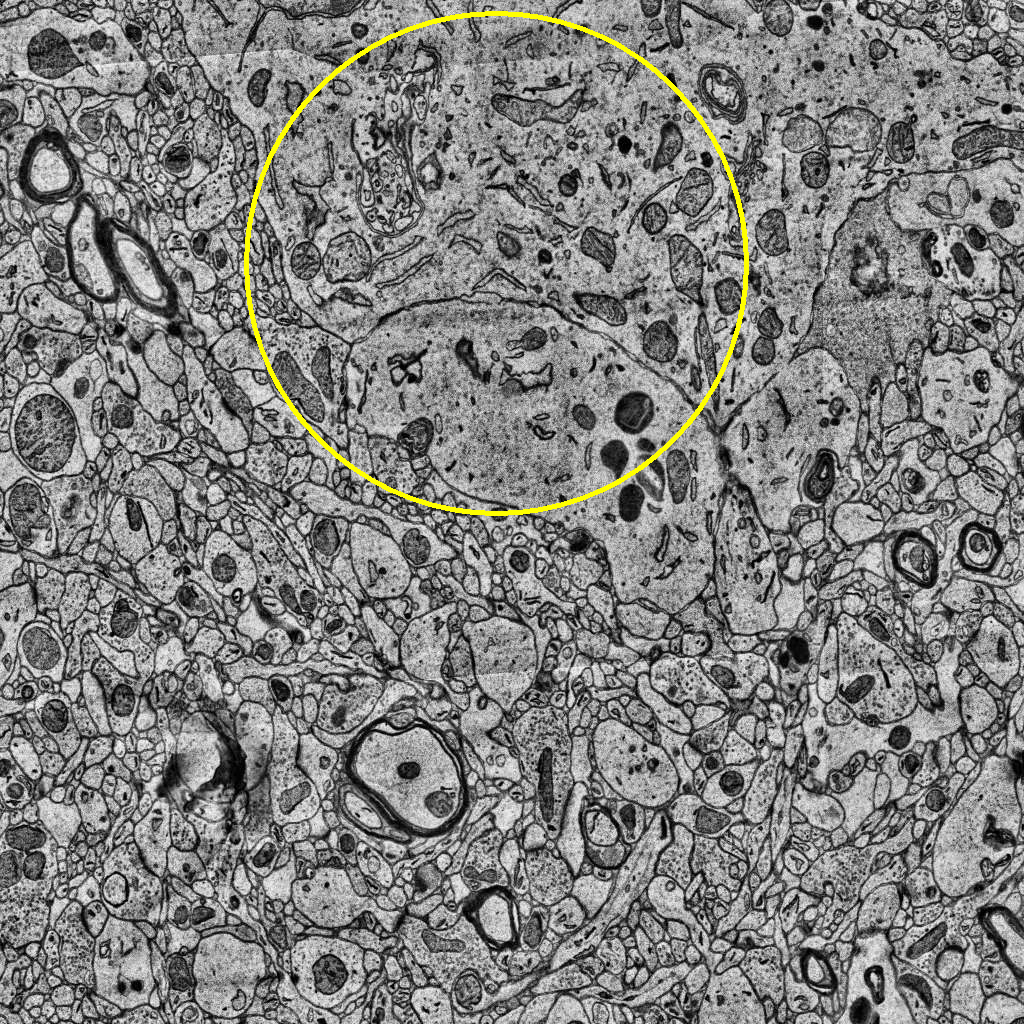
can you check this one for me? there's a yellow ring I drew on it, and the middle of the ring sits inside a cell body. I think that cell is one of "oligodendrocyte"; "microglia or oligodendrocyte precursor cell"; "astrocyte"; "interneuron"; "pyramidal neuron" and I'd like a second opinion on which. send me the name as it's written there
microglia or oligodendrocyte precursor cell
